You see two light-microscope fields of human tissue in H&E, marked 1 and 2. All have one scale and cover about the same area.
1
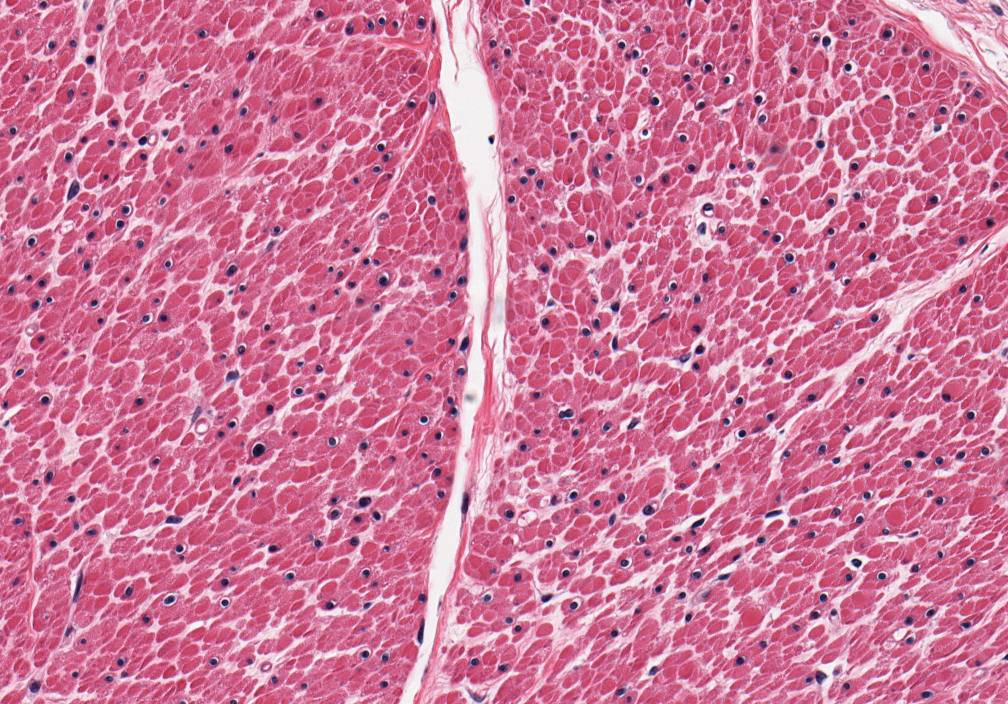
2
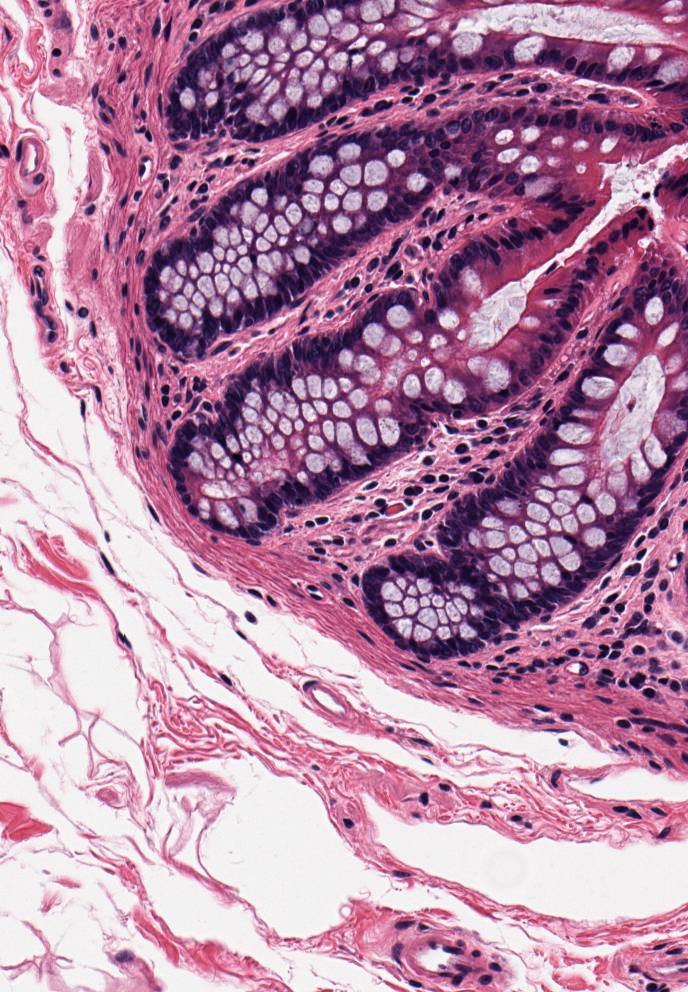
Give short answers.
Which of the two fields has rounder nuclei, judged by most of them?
1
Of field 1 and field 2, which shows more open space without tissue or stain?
2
